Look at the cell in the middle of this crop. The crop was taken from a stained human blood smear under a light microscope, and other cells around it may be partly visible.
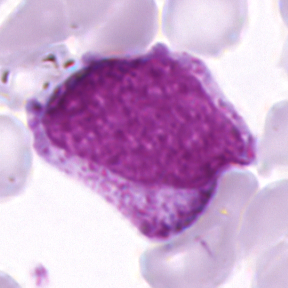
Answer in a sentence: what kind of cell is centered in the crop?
Answering briefly, the cell in the middle is a promyelocyte.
